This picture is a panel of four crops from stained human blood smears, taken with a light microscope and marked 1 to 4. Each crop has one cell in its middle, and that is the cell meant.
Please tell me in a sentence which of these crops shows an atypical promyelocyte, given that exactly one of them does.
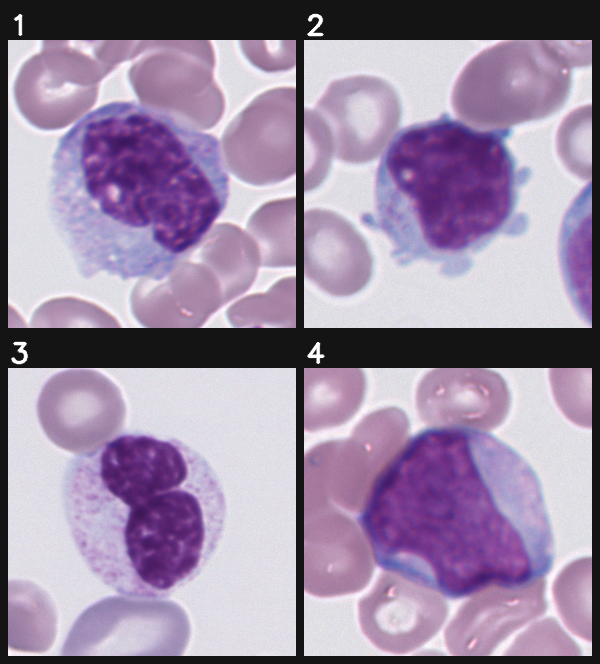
That would be crop 4; it shows an atypical promyelocyte.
